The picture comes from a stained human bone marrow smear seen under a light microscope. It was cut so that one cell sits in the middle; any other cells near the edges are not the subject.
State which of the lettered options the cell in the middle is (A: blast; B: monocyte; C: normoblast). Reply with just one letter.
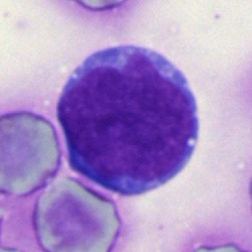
A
